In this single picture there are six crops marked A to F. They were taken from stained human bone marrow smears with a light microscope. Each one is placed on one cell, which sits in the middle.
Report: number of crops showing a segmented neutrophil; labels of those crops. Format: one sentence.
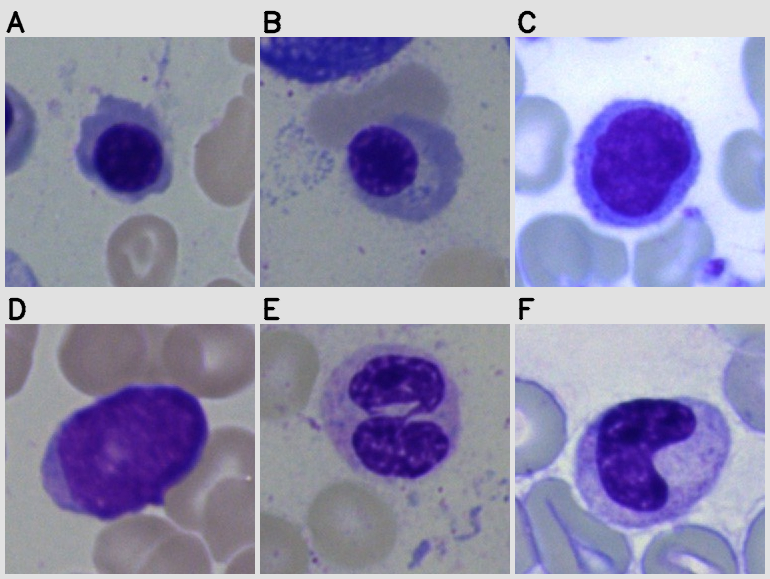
Among the crops, only crop E shows a segmented neutrophil.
